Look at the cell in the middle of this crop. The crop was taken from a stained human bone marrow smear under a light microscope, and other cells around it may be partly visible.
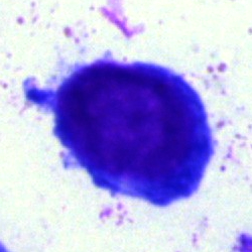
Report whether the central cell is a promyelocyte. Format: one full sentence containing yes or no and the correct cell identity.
No, a promyelocyte is not what the central cell is; it is a proerythroblast.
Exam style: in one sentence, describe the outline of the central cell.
An irregular outline, ragged or marked by projections, surrounds this cell.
